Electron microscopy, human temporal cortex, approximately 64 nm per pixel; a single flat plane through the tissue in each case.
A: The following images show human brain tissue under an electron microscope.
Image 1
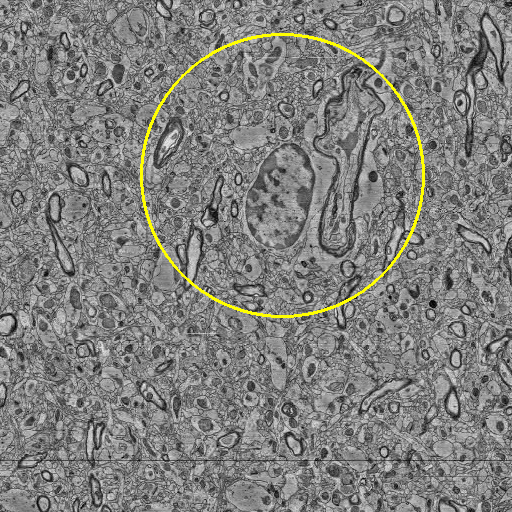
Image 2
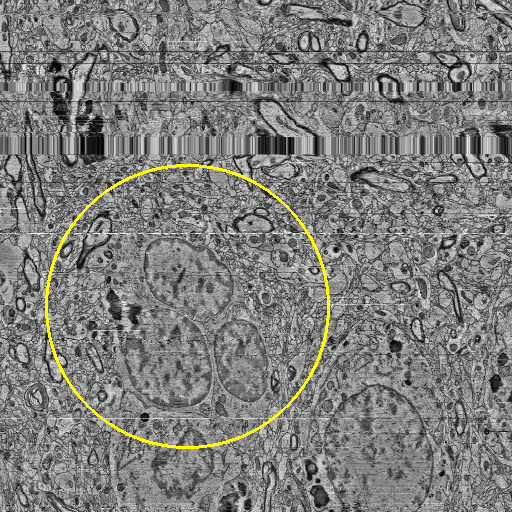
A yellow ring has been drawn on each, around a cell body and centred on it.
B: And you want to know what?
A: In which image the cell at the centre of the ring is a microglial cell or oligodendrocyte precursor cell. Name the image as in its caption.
Image 1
